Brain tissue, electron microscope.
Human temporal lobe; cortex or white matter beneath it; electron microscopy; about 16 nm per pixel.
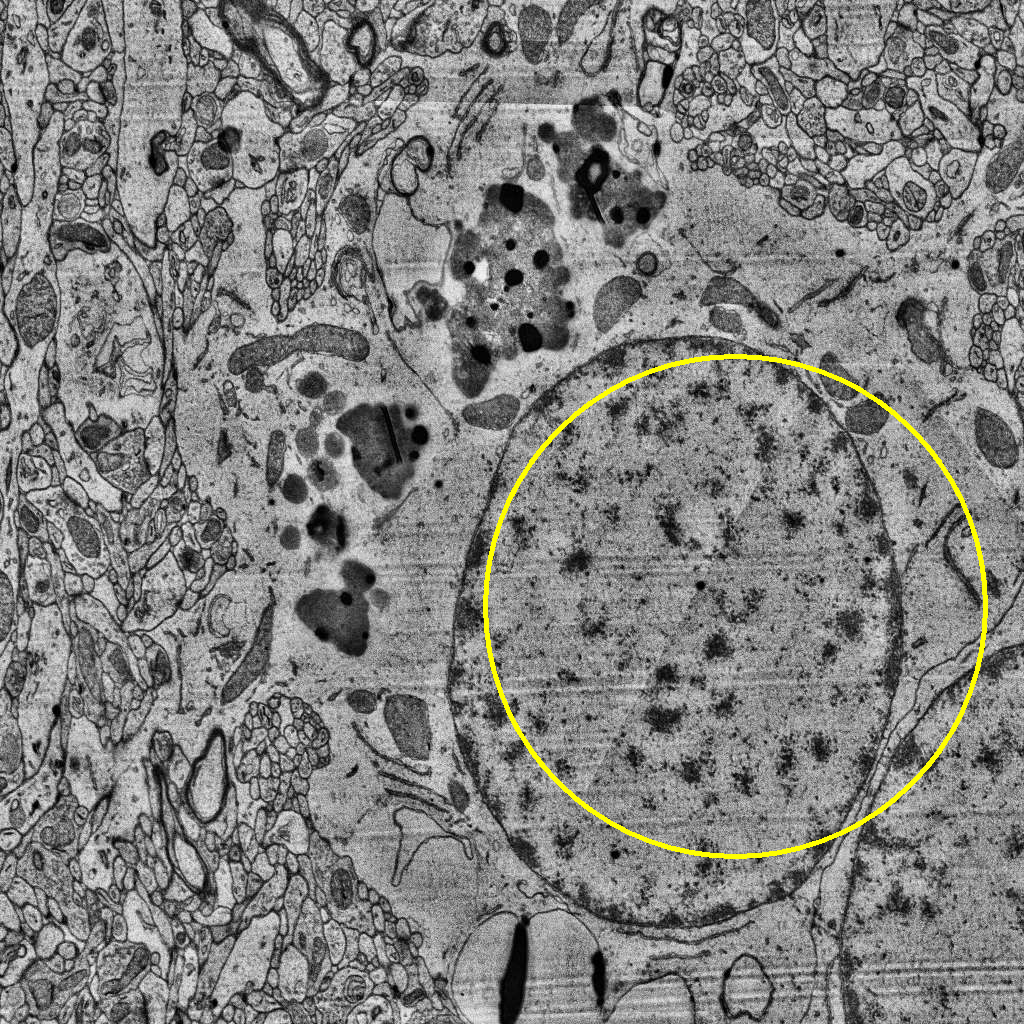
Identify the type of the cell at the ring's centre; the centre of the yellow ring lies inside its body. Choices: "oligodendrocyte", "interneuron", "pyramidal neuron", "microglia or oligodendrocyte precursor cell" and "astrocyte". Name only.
astrocyte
